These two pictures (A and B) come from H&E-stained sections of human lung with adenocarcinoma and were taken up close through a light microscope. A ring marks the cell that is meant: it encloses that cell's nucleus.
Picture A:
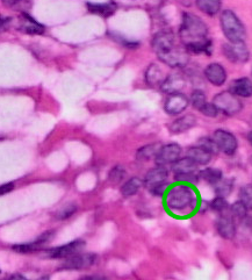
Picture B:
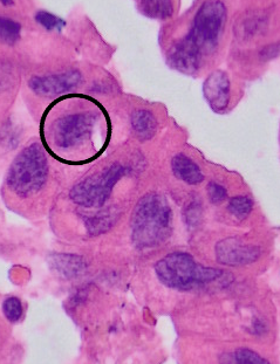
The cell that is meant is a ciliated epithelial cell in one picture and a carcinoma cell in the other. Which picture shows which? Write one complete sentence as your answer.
In picture A the cell is a ciliated epithelial cell; in picture B, a carcinoma cell.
